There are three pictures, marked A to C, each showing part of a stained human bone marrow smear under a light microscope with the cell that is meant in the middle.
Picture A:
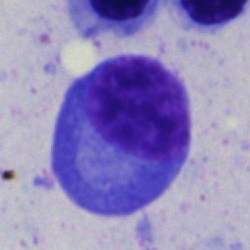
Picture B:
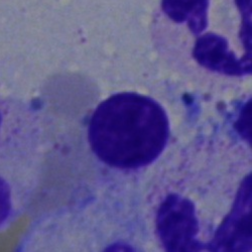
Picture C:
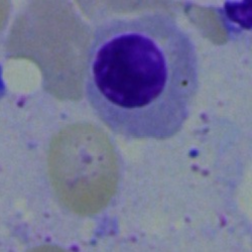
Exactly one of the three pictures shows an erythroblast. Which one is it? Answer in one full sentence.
Picture C shows the erythroblast.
